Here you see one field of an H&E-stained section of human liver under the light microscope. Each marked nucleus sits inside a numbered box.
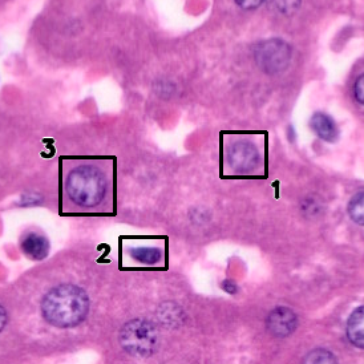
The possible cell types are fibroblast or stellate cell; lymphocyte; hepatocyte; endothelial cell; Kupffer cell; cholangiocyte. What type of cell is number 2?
lymphocyte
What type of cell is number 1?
hepatocyte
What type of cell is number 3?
hepatocyte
